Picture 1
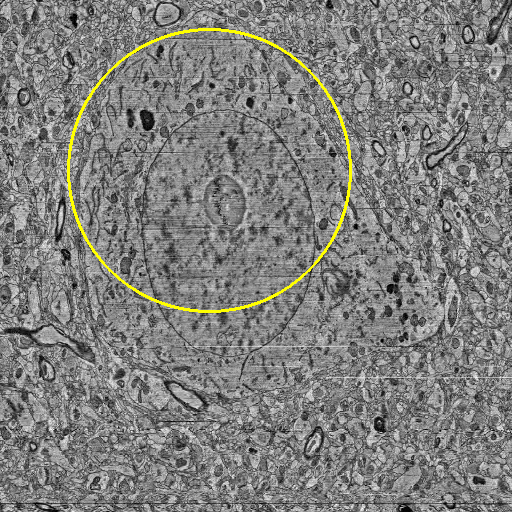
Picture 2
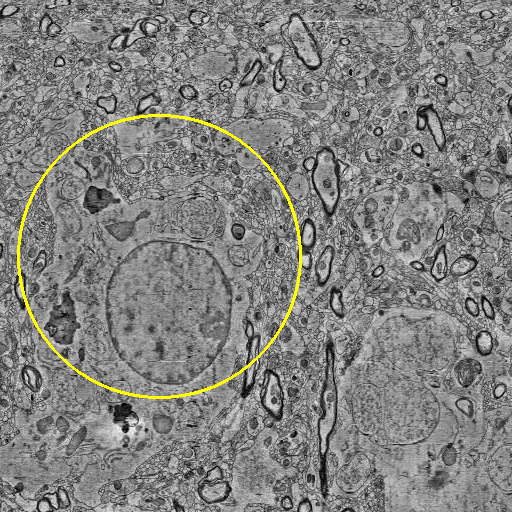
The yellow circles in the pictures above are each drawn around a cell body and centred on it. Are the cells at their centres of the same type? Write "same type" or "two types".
two types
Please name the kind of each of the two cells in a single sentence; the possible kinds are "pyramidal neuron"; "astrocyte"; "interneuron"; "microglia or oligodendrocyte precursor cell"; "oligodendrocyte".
In the first picture the ring is centred on a pyramidal neuron, and in the second on an astrocyte.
